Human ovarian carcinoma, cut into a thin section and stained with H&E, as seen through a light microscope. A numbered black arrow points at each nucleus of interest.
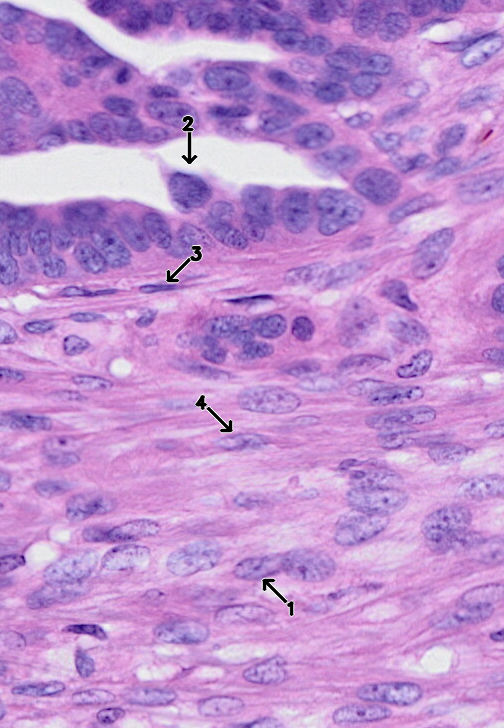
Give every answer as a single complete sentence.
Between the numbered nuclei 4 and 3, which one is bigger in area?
Of the two, number 4 is bigger and takes up about 2 times the area of number 3.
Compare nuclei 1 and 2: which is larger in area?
It is nucleus 2, which covers about 2 times the area of nucleus 1.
